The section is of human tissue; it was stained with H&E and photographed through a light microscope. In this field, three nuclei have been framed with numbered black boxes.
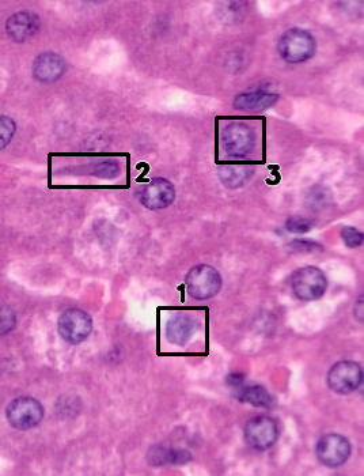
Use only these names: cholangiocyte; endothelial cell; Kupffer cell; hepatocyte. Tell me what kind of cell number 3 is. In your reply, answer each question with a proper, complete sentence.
The cell referred to as 3 is a hepatocyte.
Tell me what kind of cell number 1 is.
The cell that bears the number 1 is an endothelial cell.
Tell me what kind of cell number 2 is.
It is as a Kupffer cell that the cell numbered 2 is identified.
